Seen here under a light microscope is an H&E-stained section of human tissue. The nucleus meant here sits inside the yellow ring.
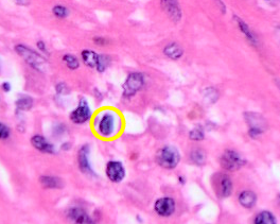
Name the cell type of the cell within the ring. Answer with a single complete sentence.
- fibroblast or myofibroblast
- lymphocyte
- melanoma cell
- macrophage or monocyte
In short, the cell within the ring on this section is a lymphocyte.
